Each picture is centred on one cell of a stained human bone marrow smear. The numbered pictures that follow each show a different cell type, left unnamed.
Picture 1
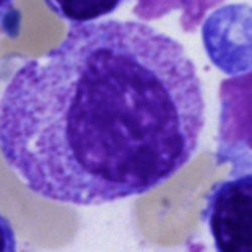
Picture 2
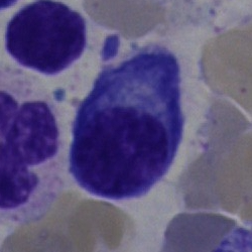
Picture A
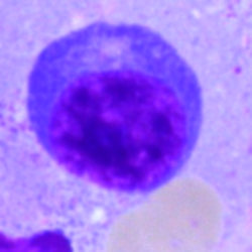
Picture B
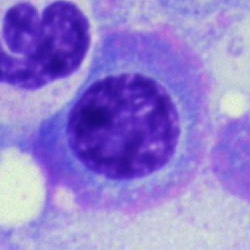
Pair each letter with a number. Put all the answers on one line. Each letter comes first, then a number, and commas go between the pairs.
A 2, B 2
